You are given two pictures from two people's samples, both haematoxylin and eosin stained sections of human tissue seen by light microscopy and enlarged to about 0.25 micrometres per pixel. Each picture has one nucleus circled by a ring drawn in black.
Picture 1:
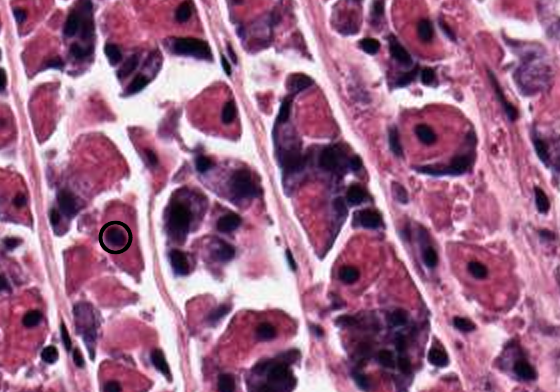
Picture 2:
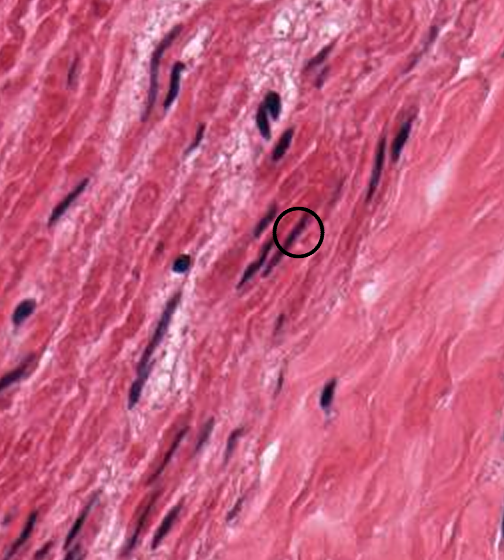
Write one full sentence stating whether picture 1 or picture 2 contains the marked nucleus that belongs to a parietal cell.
In picture 1, the mark falls on the nucleus of a parietal cell.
